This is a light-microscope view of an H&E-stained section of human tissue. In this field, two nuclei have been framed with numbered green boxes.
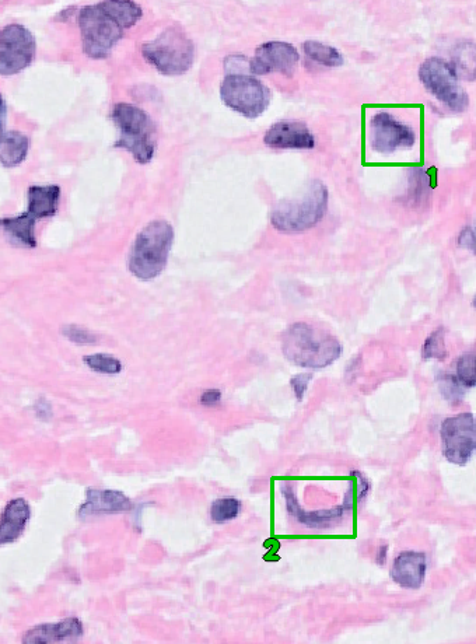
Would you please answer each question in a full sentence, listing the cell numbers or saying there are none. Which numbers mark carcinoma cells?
Response: cell 1 is a carcinoma cell, and no other numbered cell is.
